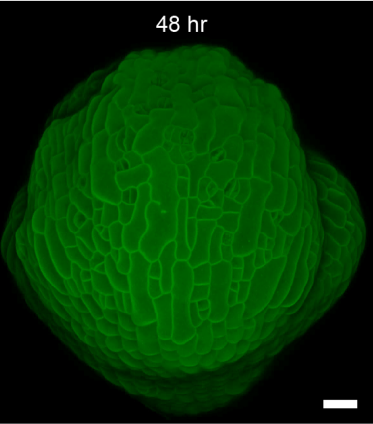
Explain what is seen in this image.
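Front view of a flower bud enclosed by a large outer sepal, with cell outlines in green. The sepal epidermis consists of many elongated cells of varying size arranged roughly along the length of the organ, with scattered smaller cells between them. The edges of neighbouring sepals are visible at the left and right margins.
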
